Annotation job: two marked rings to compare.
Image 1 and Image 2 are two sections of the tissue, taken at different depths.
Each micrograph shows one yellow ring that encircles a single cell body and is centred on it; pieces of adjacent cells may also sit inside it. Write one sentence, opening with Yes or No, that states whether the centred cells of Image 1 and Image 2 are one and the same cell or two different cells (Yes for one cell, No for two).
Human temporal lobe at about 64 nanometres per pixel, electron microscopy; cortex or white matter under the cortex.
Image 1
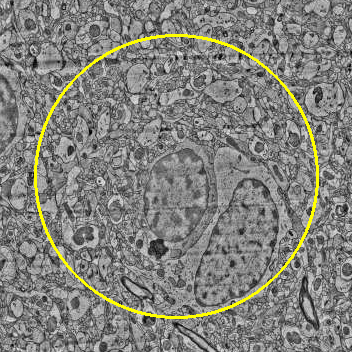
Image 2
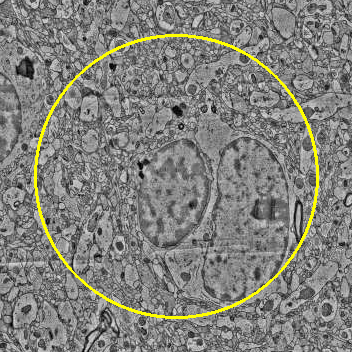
Yes, the same cell has been marked in both yellow rings.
